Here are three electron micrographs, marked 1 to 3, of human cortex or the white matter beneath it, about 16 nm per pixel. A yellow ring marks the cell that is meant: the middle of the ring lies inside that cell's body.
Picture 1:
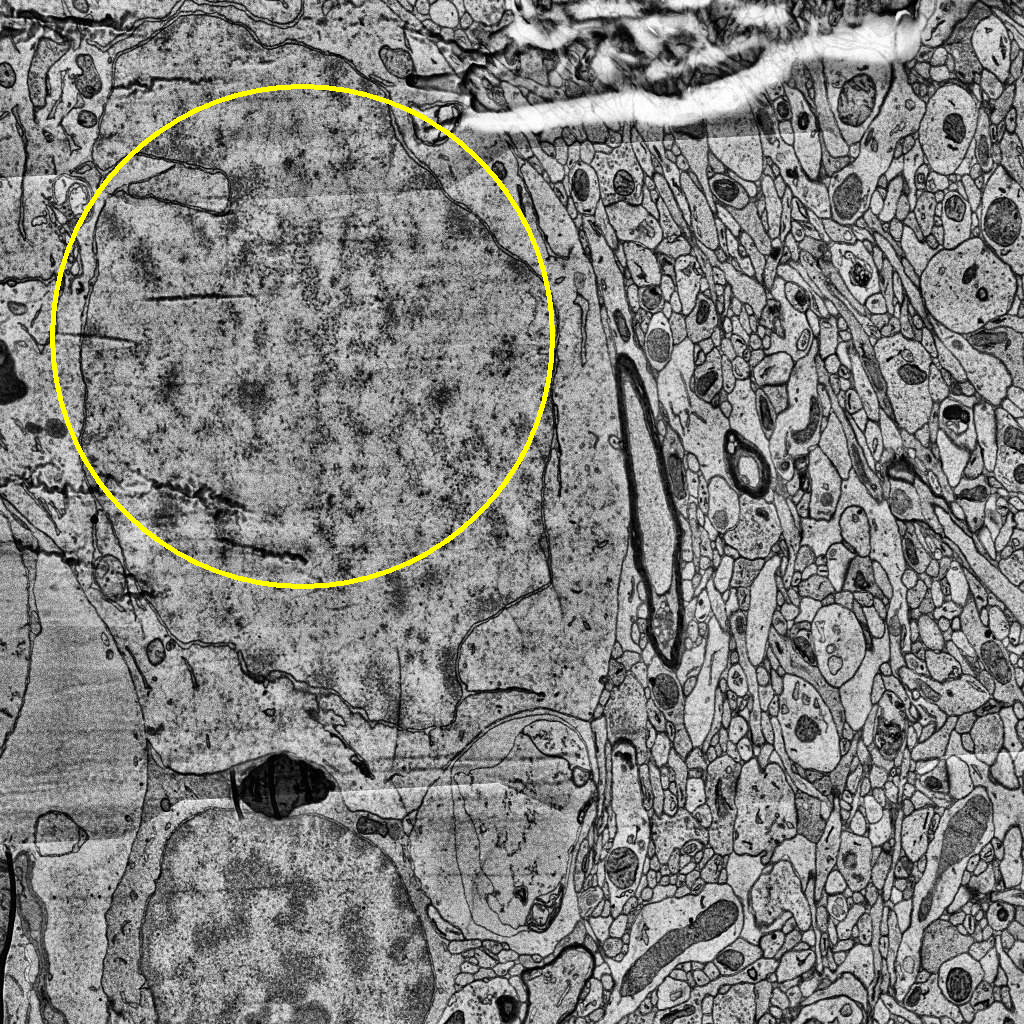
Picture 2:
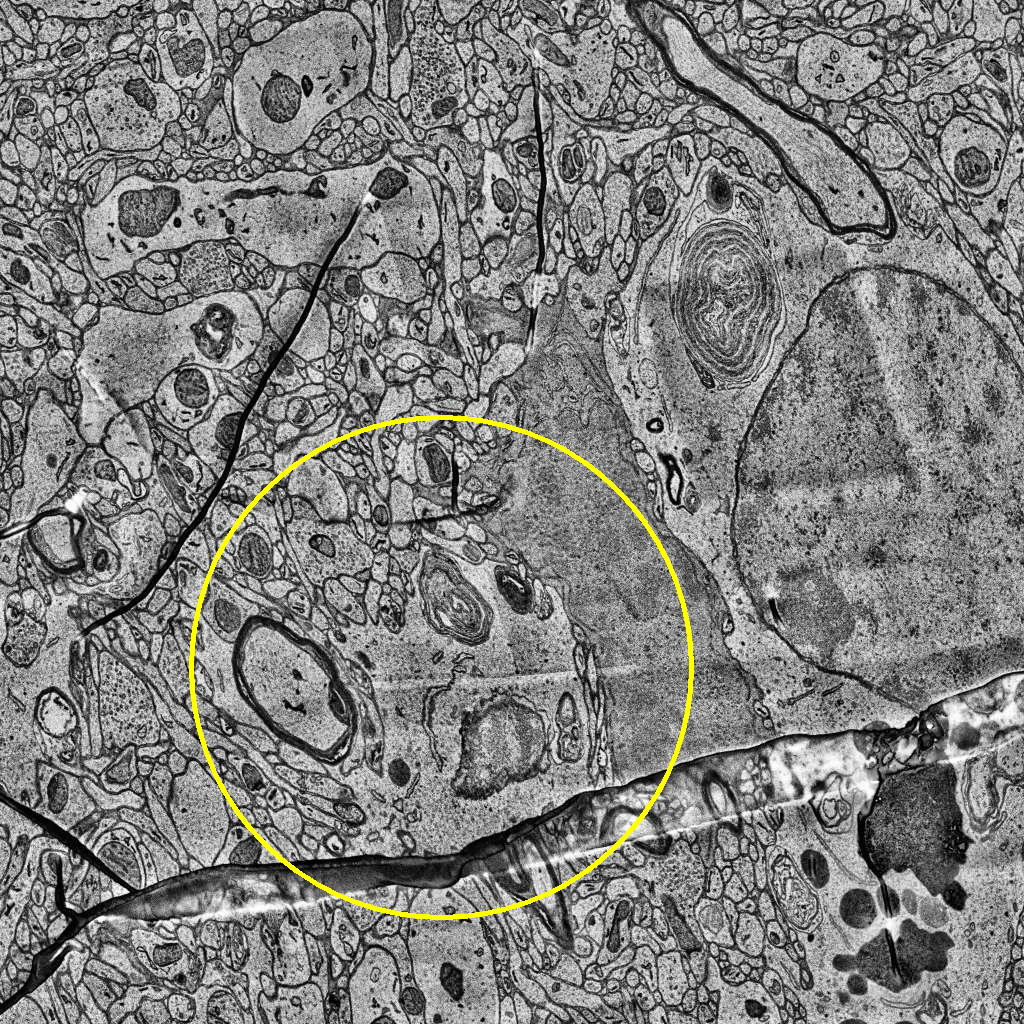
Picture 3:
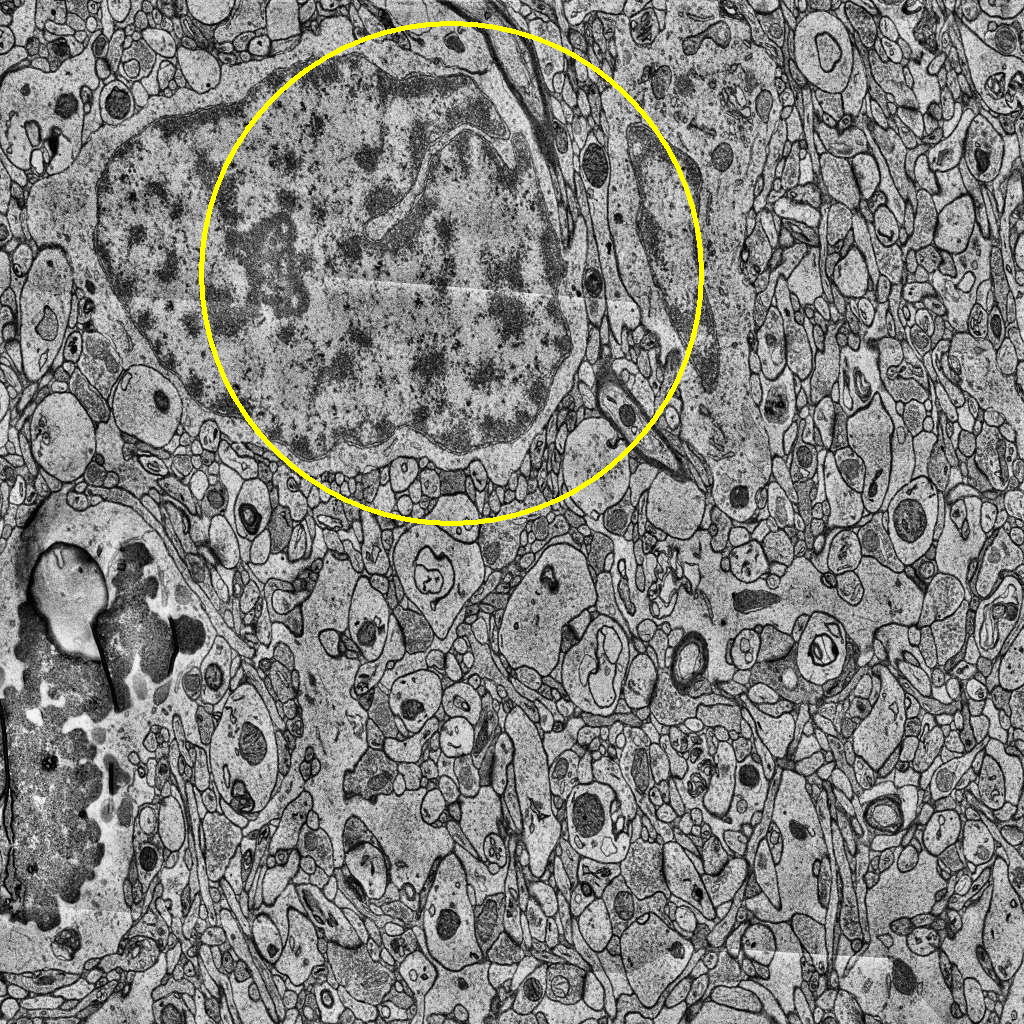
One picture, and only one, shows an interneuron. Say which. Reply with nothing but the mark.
1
